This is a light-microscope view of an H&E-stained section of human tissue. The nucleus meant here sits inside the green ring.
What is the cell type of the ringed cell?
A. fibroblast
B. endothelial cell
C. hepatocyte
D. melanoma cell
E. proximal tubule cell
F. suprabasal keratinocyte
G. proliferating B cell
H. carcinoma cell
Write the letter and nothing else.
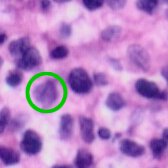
G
